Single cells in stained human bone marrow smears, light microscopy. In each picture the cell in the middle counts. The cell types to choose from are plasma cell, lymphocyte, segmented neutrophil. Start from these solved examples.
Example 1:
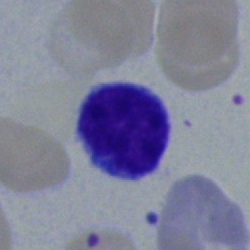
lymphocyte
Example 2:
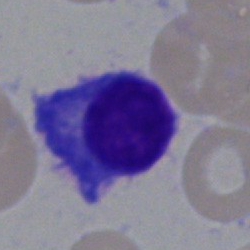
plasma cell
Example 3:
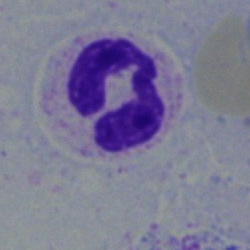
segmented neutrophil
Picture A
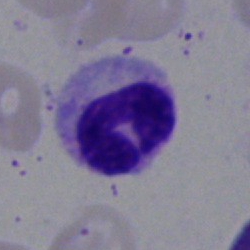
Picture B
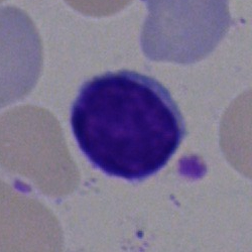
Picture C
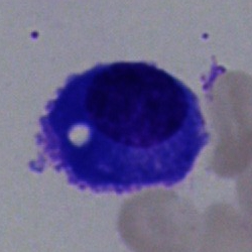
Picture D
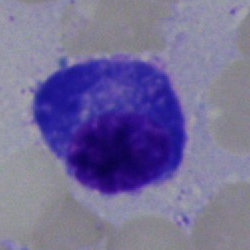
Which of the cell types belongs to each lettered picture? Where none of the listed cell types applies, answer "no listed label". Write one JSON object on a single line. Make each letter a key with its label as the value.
{"A": "segmented neutrophil", "B": "lymphocyte", "C": "plasma cell", "D": "plasma cell"}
